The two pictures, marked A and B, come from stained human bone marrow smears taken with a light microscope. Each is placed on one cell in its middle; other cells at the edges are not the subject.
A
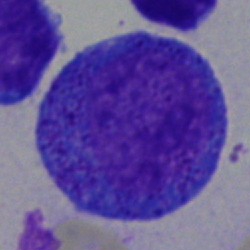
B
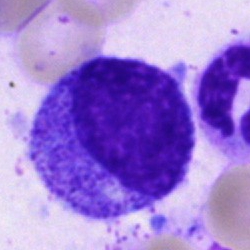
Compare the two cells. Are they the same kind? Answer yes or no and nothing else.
yes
